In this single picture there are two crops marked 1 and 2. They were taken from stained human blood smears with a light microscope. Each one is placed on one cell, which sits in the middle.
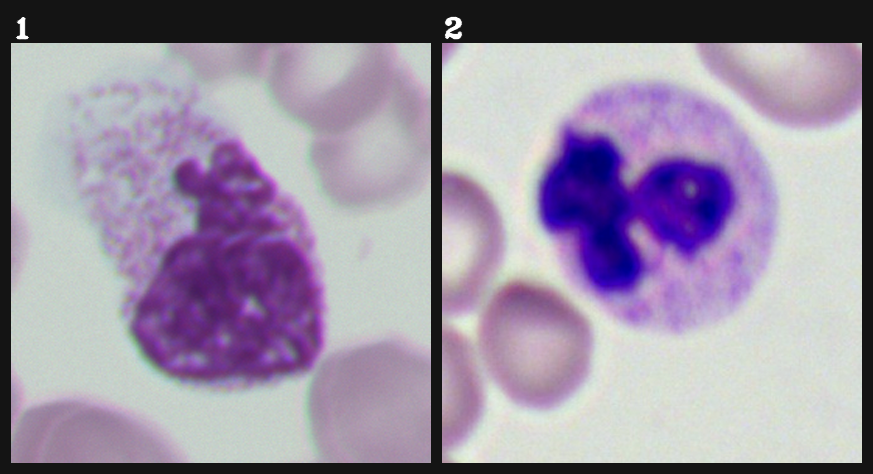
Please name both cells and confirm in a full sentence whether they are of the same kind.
Yes, the first and the second crop both show segmented neutrophils.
